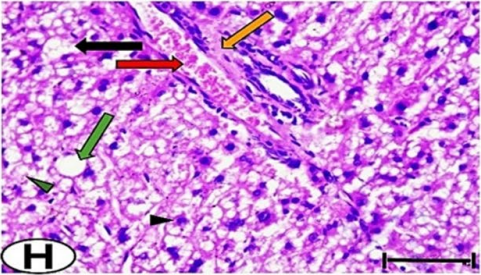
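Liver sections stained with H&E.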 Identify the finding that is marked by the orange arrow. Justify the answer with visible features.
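The orange arrow points at a thickened band of elongated cells and fibres around a vessel. That points to this answer: thickening around blood vessels.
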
